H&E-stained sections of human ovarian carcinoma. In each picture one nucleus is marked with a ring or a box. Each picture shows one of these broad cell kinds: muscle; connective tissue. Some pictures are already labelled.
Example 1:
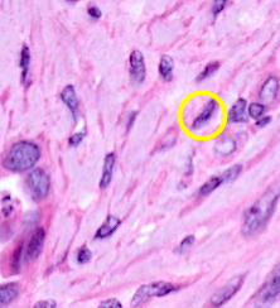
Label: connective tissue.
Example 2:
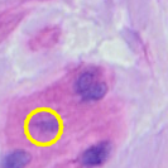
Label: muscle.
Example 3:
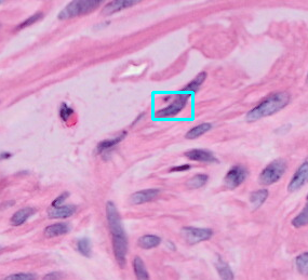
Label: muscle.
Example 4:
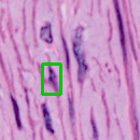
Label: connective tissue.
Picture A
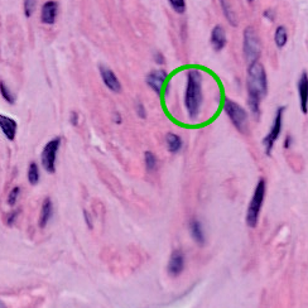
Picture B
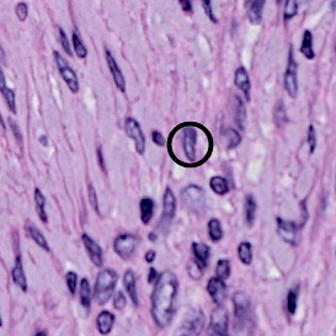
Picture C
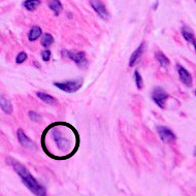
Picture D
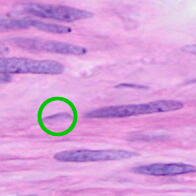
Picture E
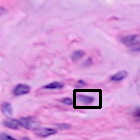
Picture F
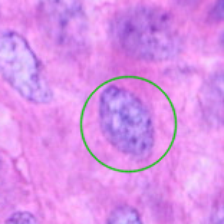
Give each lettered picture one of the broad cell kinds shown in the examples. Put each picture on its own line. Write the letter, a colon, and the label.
A: muscle.
B: connective tissue.
C: muscle.
D: muscle.
E: muscle.
F: connective tissue.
